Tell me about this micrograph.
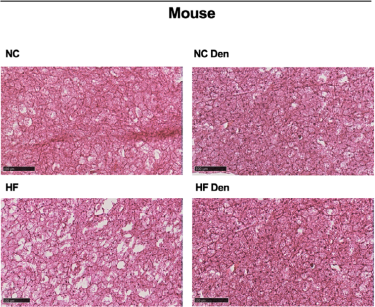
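The cytoplasm is finely vacuolated by many small clear lipid droplets, and numerous small dark nuclei are spread evenly throughout. In the lower left field scattered cells carry larger clear vacuoles among the denser tissue.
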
